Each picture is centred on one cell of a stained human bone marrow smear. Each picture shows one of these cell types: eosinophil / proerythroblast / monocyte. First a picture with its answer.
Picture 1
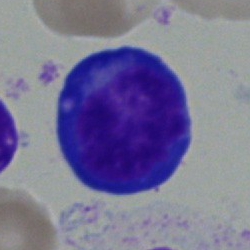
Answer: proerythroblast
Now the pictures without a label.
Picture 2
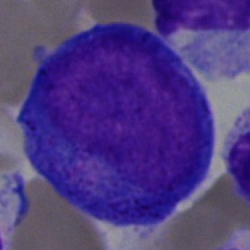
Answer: proerythroblast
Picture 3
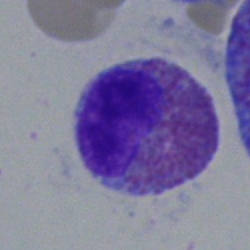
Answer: eosinophil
